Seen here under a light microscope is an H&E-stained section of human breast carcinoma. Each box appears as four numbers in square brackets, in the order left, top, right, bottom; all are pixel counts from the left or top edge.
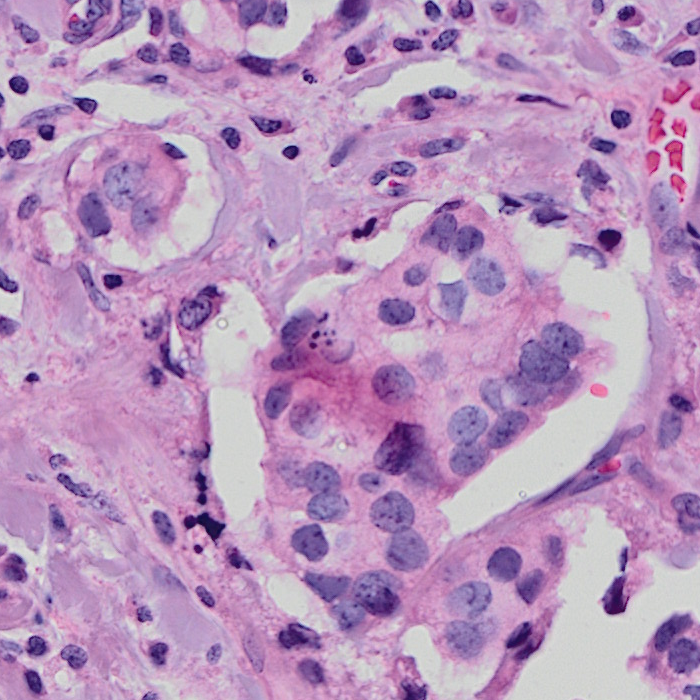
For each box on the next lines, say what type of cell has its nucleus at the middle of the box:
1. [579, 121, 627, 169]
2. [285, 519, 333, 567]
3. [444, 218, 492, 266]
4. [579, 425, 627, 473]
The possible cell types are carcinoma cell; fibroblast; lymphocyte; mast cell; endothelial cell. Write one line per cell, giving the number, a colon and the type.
1: lymphocyte
2: carcinoma cell
3: carcinoma cell
4: endothelial cell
